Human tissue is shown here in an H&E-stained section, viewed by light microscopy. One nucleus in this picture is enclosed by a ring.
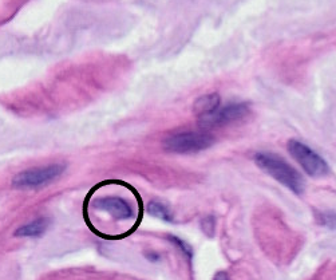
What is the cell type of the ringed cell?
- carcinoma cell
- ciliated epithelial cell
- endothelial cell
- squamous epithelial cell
endothelial cell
